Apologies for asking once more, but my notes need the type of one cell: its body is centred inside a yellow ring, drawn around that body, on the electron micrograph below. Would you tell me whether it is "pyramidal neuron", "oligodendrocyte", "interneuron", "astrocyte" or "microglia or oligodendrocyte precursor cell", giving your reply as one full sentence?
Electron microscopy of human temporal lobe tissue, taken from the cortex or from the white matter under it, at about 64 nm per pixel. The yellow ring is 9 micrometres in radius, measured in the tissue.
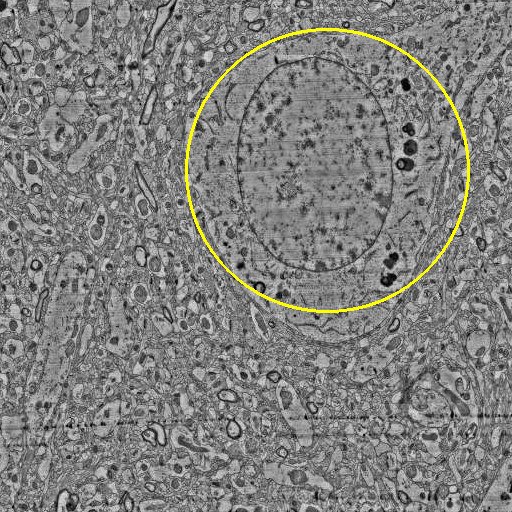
The cell that the yellow ring is centred on is a pyramidal neuron in this micrograph.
